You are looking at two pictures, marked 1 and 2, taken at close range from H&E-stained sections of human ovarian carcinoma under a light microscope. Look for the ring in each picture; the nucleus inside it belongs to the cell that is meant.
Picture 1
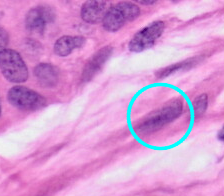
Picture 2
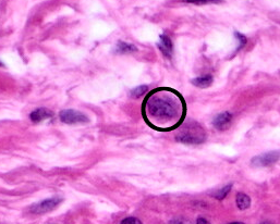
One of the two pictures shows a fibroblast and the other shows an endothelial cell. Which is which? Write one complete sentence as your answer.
The cell in picture 1 is a fibroblast, and the one in picture 2 is an endothelial cell.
